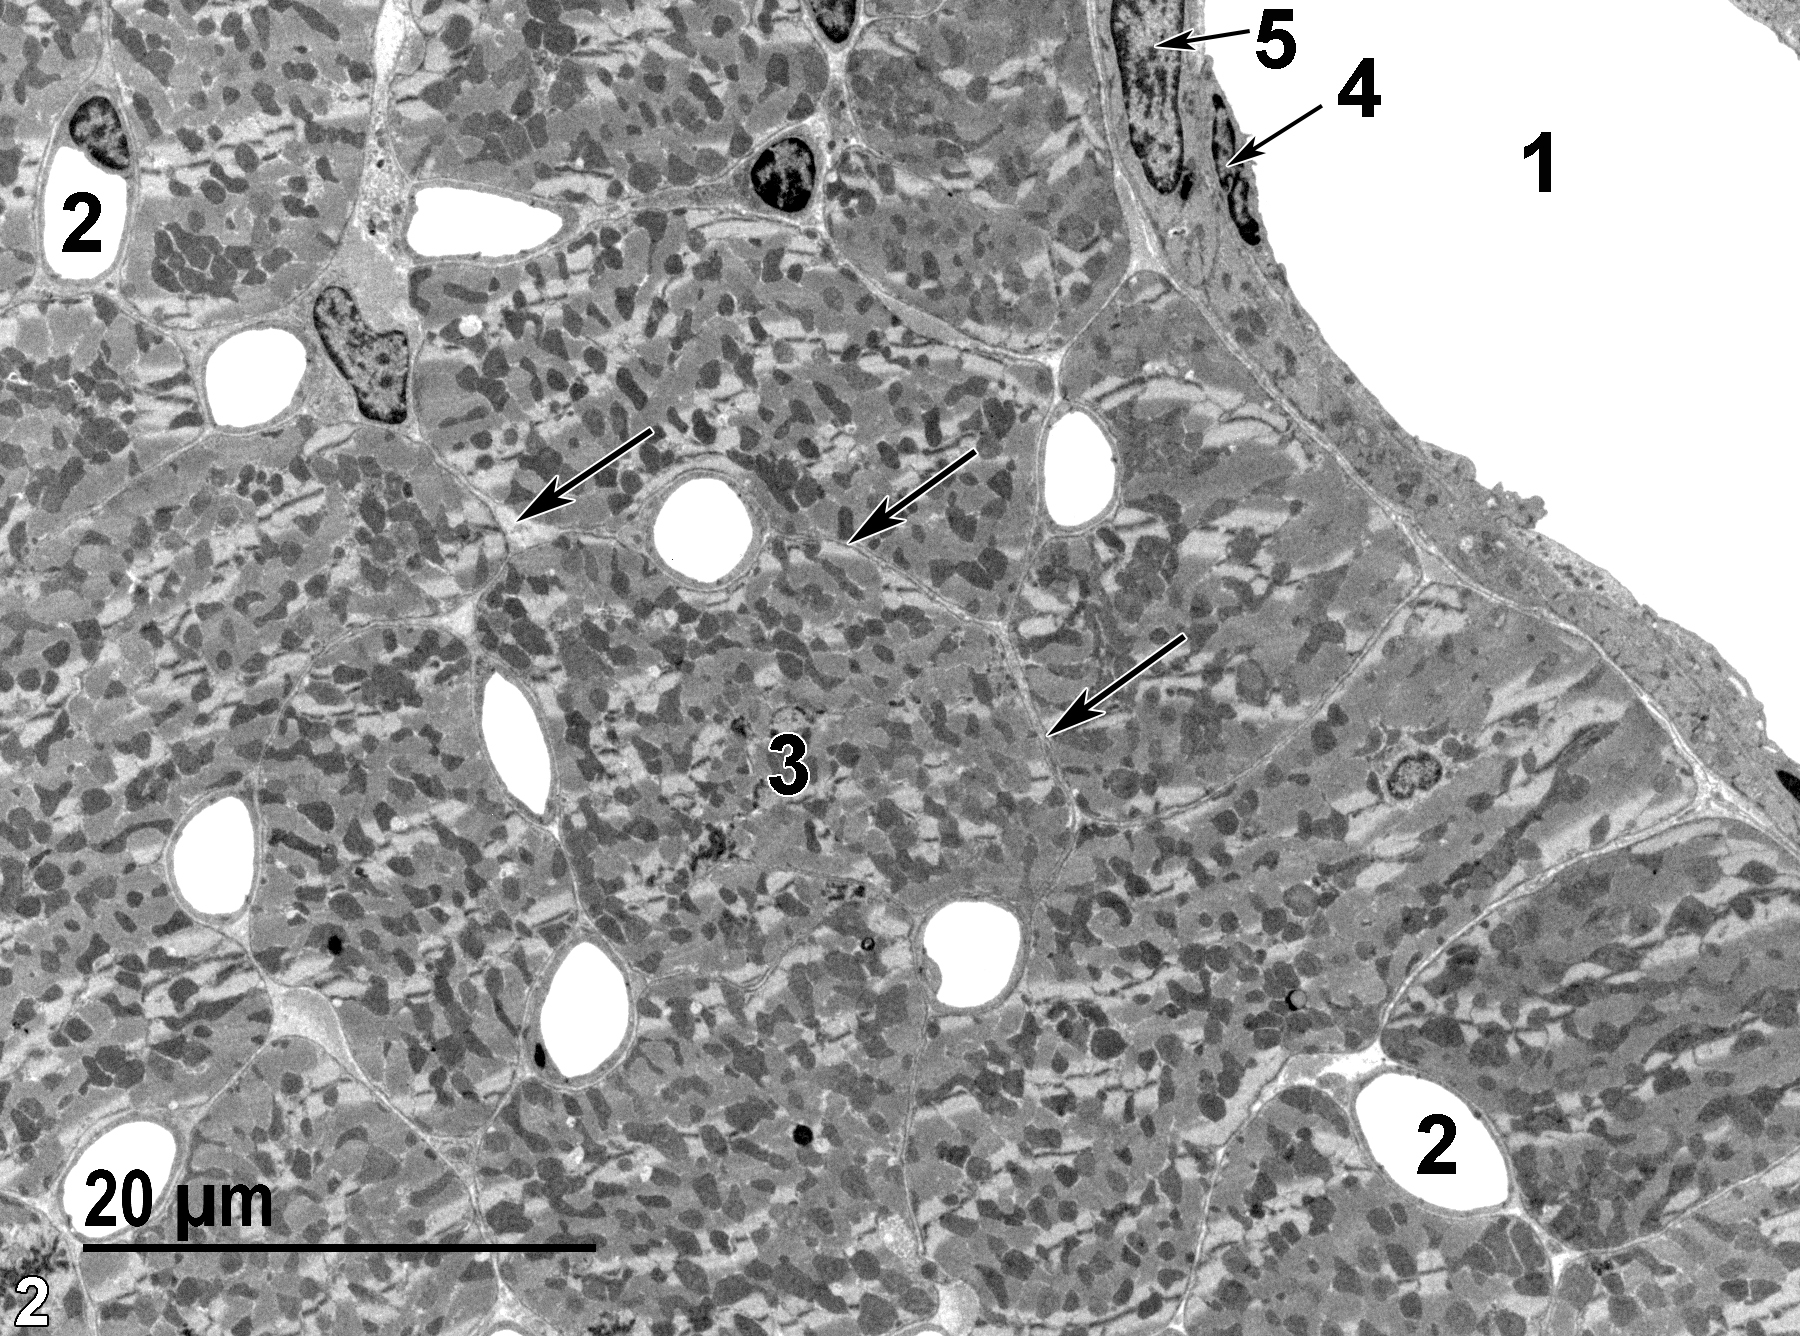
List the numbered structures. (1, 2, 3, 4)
1 vein
2 capillaries
3 myocyte cell
4 nucleus of an endothelial cell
